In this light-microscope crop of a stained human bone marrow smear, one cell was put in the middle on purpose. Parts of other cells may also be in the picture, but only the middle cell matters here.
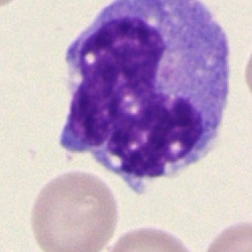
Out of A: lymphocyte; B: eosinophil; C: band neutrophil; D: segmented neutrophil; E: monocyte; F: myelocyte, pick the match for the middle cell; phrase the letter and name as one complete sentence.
What option E states is correct, the central cell being a monocyte.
